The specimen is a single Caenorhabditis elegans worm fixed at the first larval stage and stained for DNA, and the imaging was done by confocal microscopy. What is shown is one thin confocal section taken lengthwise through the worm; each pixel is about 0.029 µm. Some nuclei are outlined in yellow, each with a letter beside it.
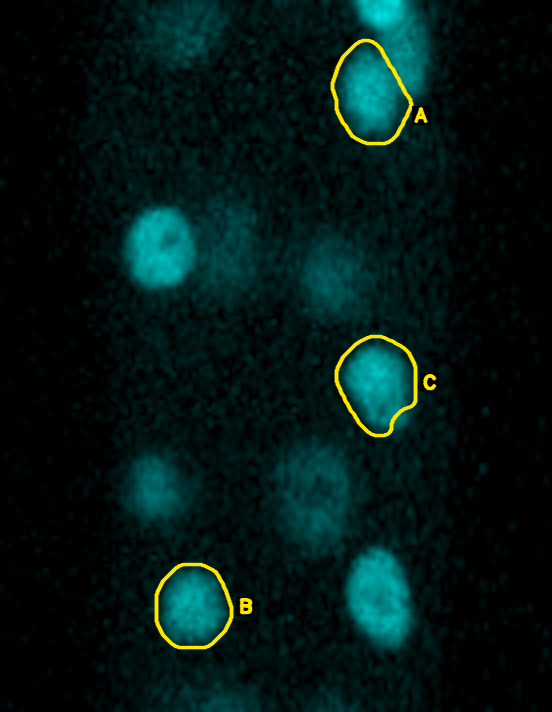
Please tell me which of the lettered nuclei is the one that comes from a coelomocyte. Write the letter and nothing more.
A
